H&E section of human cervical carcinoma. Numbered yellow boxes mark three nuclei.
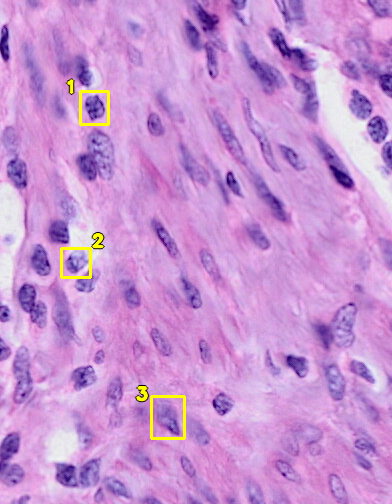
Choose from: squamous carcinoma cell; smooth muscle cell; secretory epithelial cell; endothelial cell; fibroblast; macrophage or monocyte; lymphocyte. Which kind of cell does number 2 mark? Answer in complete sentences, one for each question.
At number 2, the marked cell is a lymphocyte.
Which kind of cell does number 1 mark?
The numbered cell 1 in this field is a lymphocyte.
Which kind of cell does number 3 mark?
The cell that goes by number 3 is a smooth muscle cell.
